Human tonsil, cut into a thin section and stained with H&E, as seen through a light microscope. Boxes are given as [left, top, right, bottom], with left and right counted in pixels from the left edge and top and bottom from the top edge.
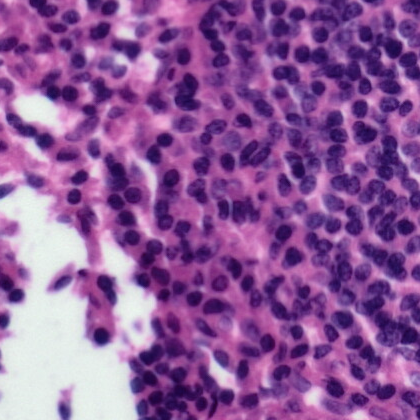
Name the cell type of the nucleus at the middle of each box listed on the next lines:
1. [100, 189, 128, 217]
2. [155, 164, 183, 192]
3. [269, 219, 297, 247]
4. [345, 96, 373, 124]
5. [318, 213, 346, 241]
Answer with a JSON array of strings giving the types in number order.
["plasma cell", "plasma cell", "plasma cell", "small lymphocyte", "small lymphocyte"]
